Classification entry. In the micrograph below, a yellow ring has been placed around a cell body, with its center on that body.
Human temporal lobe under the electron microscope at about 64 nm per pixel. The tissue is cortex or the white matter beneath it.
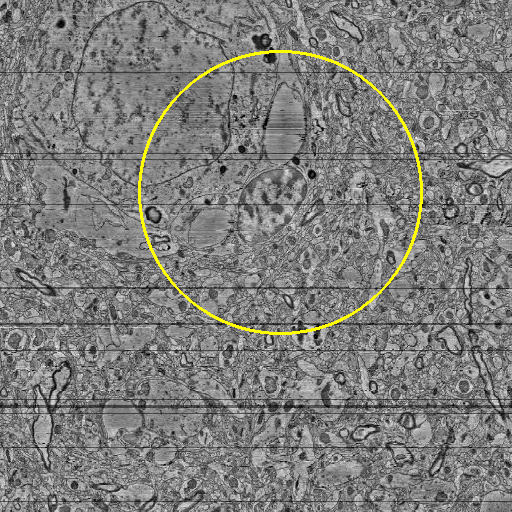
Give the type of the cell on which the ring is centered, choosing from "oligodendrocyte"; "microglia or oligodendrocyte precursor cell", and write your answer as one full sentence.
The cell body at the center of the yellow ring belongs to a microglial cell or oligodendrocyte precursor cell.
